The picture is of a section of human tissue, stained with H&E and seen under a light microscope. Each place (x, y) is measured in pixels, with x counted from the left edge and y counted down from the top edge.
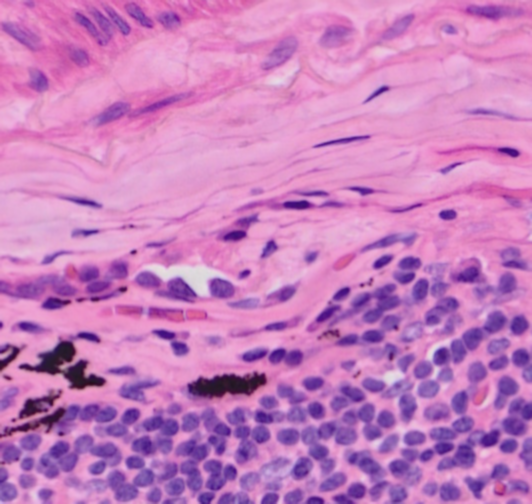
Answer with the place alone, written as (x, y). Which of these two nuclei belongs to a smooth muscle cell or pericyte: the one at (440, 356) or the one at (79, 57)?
(79, 57)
